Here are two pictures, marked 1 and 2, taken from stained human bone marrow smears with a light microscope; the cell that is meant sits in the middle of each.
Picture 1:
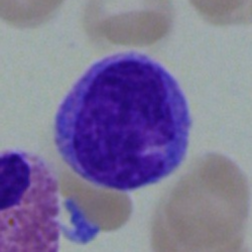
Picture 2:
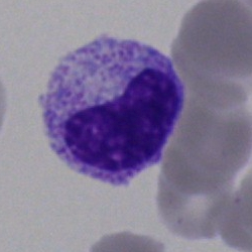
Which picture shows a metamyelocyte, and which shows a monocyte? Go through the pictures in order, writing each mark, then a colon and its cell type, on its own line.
1: monocyte
2: metamyelocyte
